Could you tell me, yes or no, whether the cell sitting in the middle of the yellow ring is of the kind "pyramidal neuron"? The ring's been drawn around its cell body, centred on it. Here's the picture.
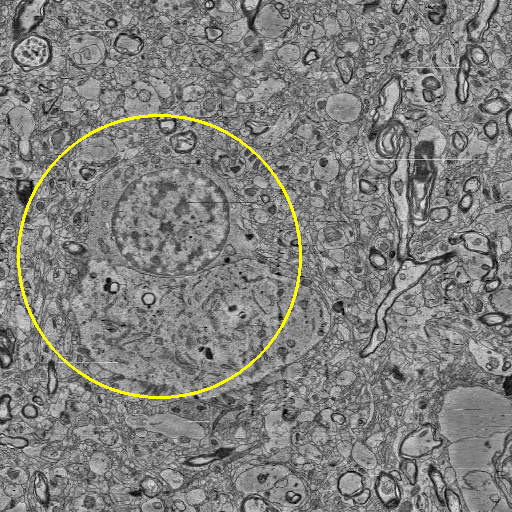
No, it is of another kind.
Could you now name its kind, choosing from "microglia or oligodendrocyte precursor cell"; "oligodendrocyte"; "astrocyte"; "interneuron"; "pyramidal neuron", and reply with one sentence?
That cell in the ring is an oligodendrocyte instead.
